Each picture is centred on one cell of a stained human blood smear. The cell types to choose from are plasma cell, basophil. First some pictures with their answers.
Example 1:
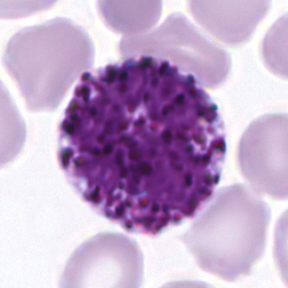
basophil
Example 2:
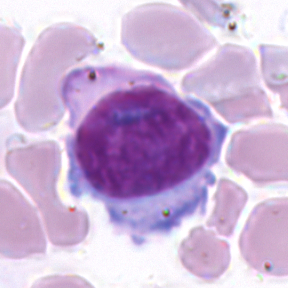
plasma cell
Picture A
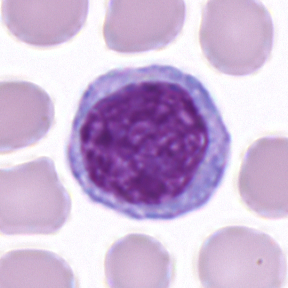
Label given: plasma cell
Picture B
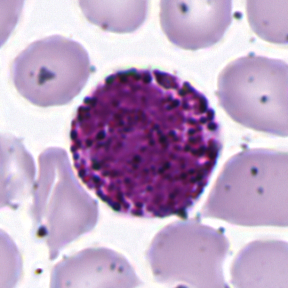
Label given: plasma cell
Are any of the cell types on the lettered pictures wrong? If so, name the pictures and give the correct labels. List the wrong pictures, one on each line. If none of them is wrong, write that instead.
B: change plasma cell to basophil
